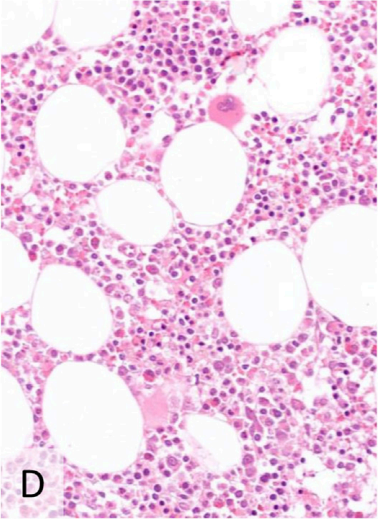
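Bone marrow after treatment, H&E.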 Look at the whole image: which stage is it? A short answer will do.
maturing hematopoesis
